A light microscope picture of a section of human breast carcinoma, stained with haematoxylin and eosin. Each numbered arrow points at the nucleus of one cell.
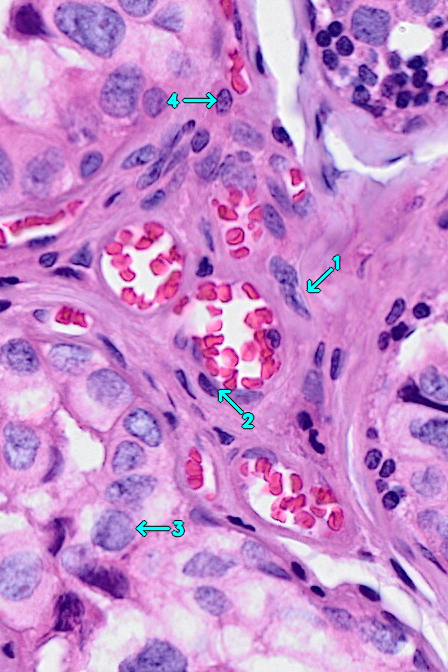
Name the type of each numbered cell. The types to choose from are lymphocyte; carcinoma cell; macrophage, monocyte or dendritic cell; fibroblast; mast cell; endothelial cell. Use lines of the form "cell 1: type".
cell 1: fibroblast
cell 2: endothelial cell
cell 3: carcinoma cell
cell 4: mast cell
